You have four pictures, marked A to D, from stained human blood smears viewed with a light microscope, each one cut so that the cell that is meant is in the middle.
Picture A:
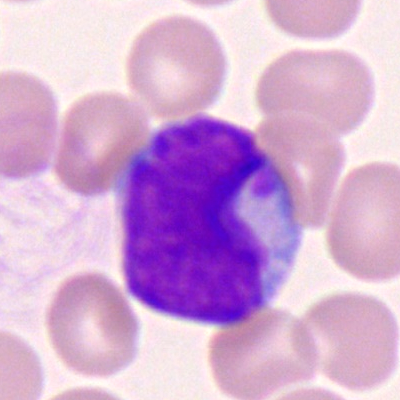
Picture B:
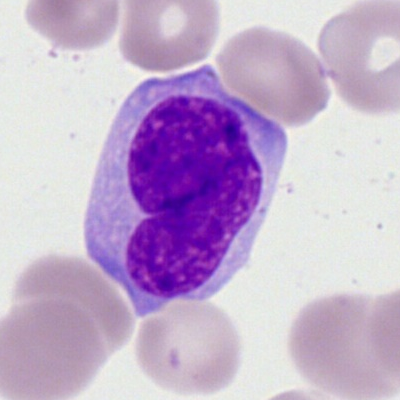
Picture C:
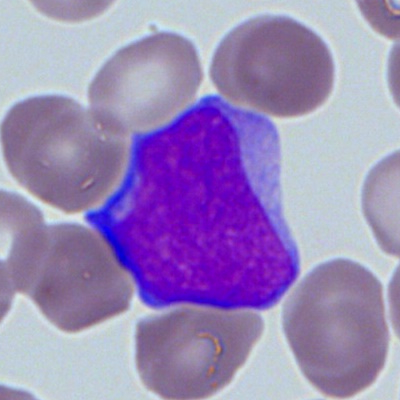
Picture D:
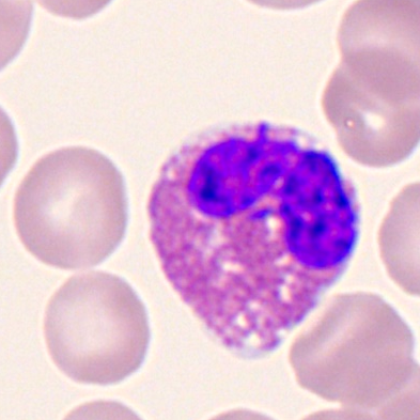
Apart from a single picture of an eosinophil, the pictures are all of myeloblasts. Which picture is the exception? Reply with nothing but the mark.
D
